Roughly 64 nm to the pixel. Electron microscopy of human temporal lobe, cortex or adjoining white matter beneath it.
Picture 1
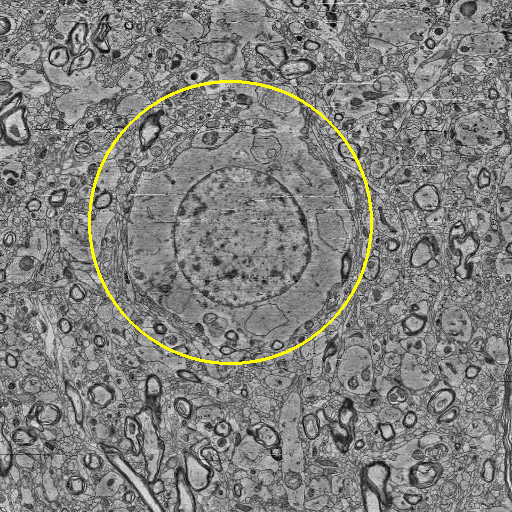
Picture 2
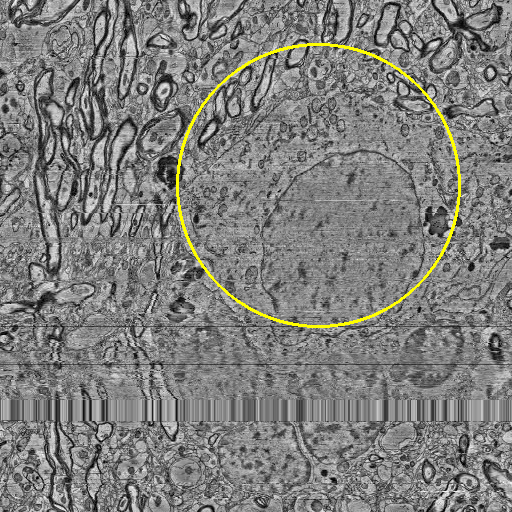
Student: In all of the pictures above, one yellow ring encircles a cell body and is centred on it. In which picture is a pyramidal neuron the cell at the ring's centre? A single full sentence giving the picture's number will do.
Picture number 2 has the wanted cell right at the centre of its ring.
